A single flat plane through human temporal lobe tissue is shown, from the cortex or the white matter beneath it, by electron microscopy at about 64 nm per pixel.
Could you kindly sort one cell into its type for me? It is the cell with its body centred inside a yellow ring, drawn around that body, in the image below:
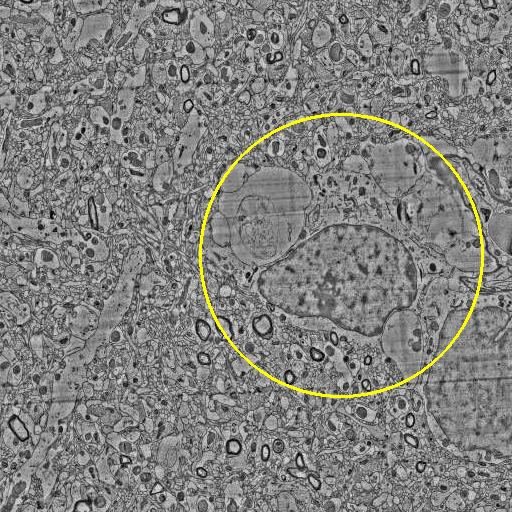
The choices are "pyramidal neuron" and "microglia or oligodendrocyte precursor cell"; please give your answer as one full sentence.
The cell whose body lies centred in the yellow ring here is a microglial cell or oligodendrocyte precursor cell.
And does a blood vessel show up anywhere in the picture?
Yes, the picture includes a blood vessel.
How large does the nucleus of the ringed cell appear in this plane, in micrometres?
The ringed cell's nucleus is about 10 micrometres long and 7 micrometres wide in this plane.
